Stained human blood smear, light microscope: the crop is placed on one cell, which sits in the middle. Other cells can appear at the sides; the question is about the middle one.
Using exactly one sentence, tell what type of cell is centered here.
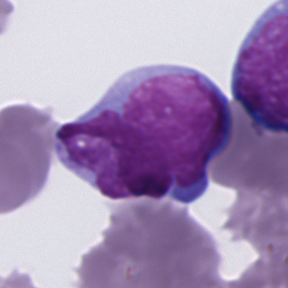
The middle position in this crop is taken by a myeloblast.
